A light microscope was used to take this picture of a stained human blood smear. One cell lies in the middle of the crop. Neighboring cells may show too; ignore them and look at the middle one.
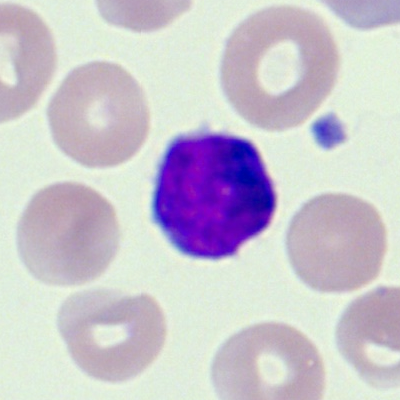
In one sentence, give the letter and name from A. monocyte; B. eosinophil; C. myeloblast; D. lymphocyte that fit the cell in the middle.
Option D is correct in naming the middle cell a lymphocyte.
